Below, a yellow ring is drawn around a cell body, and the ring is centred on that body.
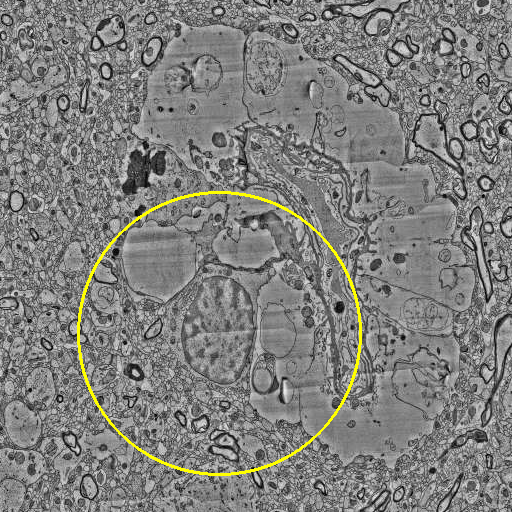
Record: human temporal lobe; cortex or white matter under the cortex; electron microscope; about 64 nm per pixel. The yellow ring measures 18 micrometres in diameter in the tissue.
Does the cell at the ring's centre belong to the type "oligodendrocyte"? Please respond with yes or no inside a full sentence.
Yes, the centred cell inside the ring shown in the picture is of this type.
